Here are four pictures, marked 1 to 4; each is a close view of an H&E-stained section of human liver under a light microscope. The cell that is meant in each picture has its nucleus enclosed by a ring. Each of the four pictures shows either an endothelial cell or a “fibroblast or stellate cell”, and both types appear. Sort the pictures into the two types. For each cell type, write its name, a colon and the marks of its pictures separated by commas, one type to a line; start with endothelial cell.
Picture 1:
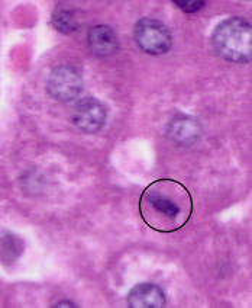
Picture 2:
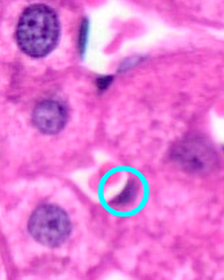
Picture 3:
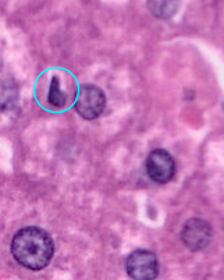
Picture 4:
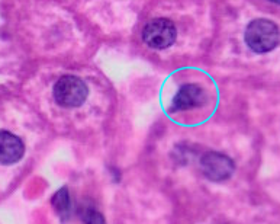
endothelial cell: 2, 3, 4
fibroblast or stellate cell: 1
